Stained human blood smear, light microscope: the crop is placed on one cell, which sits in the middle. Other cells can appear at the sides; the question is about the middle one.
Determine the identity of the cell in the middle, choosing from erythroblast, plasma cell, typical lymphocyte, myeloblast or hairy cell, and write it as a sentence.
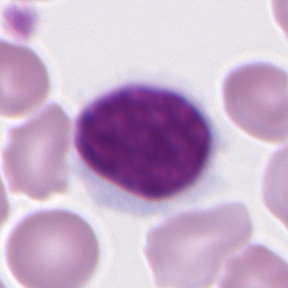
The cell positioned in the middle of the field is a hairy cell.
